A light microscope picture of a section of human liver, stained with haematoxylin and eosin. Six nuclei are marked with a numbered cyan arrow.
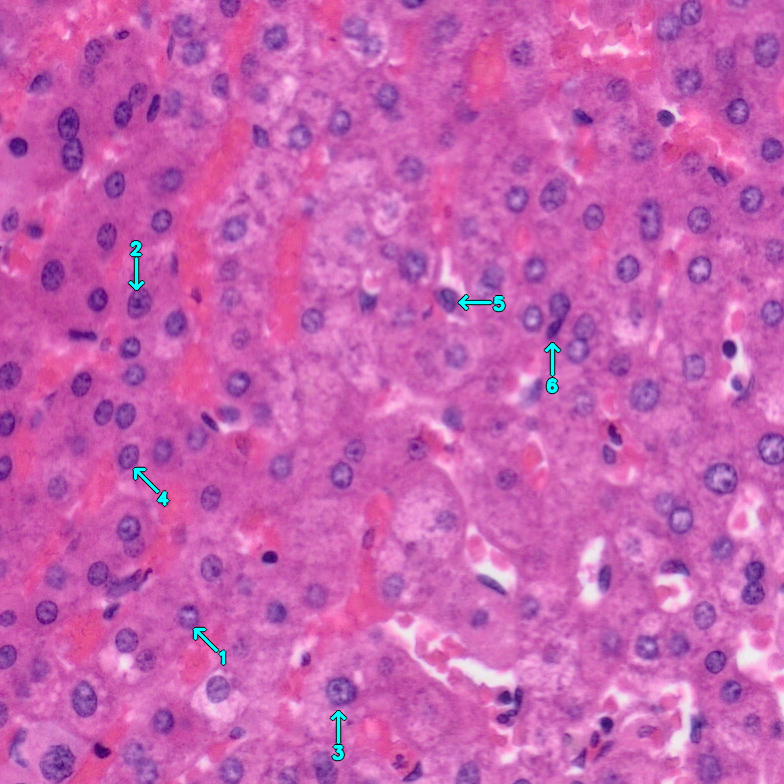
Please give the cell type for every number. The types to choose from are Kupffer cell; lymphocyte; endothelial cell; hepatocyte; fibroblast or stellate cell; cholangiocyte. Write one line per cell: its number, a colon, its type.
1: hepatocyte
2: hepatocyte
3: hepatocyte
4: hepatocyte
5: Kupffer cell
6: fibroblast or stellate cell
